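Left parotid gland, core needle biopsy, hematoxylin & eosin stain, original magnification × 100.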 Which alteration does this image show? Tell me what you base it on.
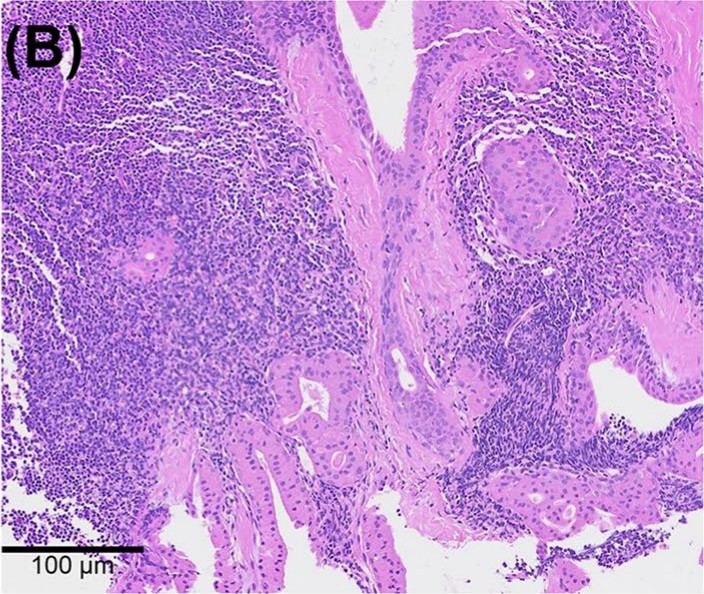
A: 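Large areas of densely packed small cells with dark round nuclei, typical of lymphoid tissue. Strands and fronds of epithelium with abundant pink cytoplasm run through the lymphoid tissue. The epithelium lines clefts and small lumina.
Answer: Warthin tumor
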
